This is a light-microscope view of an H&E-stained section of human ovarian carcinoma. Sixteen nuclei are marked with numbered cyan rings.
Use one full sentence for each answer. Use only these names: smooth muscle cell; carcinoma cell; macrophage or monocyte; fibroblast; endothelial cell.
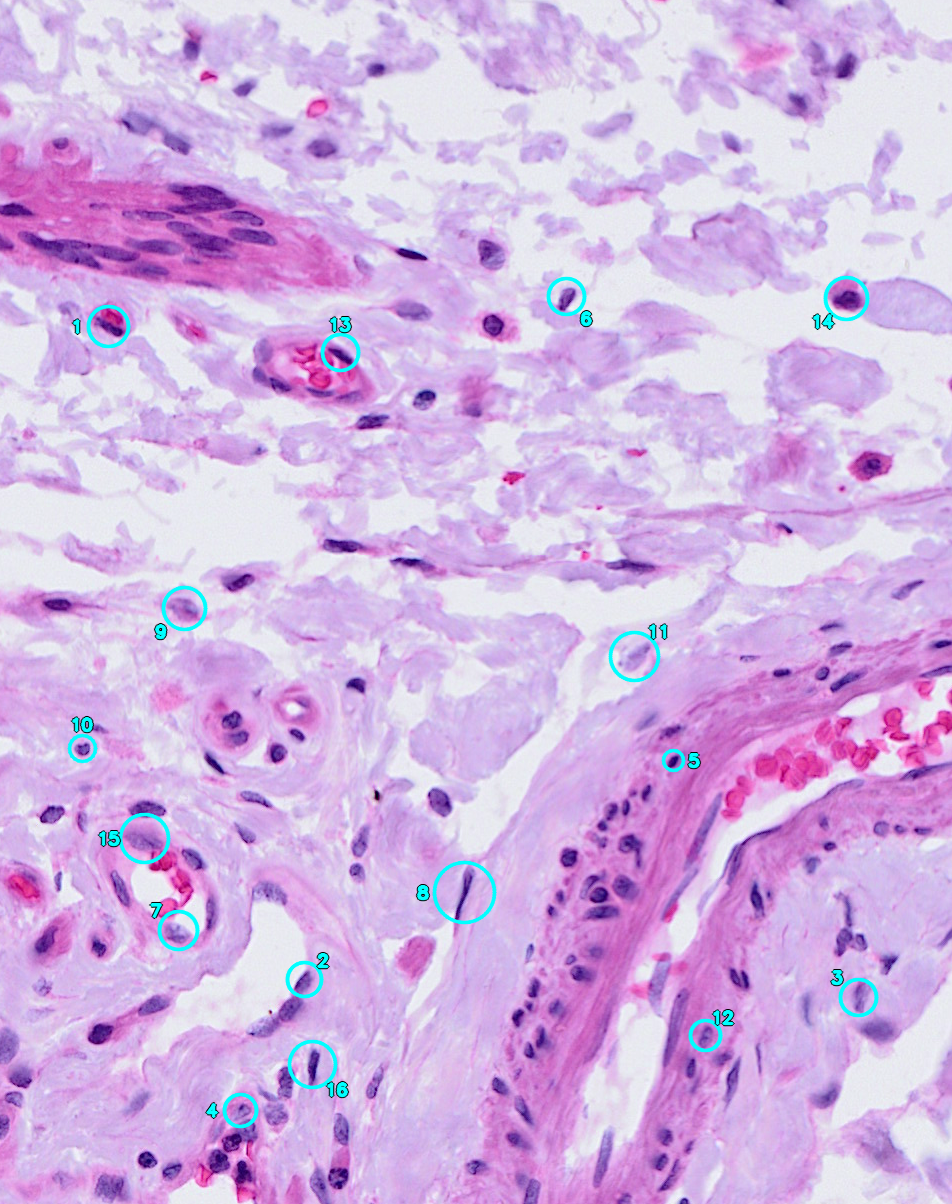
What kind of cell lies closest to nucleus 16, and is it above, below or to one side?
Just below and to the left of nucleus 16 lies the nearest nucleus, which belongs to a macrophage or monocyte.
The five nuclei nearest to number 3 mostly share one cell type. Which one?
Around number 3, most of the five nearest nuclei are those of fibroblasts.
